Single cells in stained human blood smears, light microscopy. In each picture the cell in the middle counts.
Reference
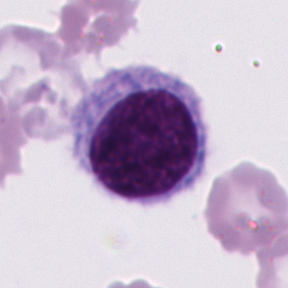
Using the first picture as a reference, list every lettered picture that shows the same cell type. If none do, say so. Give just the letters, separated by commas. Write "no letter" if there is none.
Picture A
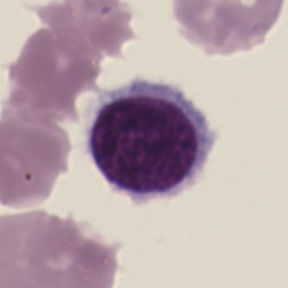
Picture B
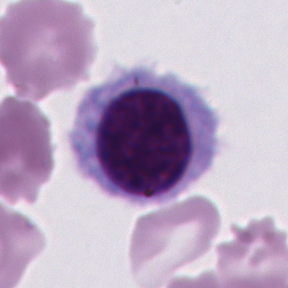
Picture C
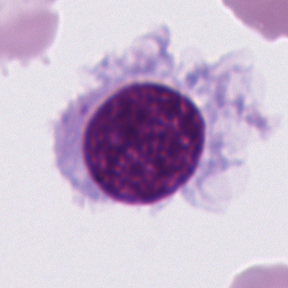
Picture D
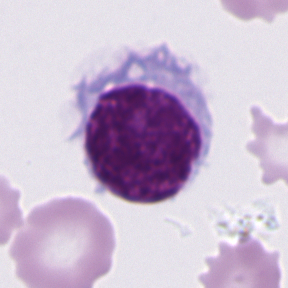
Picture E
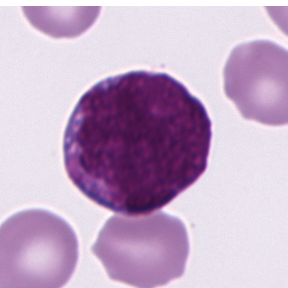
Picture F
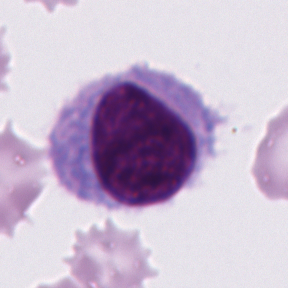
A, B, C, D, F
